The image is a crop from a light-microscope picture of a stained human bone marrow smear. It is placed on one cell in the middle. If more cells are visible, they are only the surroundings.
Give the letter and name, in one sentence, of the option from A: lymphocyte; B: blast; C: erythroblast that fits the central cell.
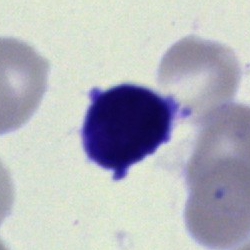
Option A is accurate; the centrally placed cell is a lymphocyte.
